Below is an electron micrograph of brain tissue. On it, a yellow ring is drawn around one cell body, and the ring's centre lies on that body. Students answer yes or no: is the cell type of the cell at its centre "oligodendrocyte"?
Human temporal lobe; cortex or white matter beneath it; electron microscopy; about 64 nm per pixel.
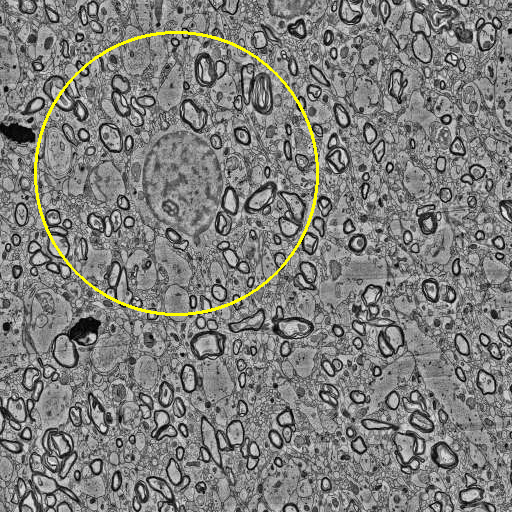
yes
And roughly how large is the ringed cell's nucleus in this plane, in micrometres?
The nucleus works out at approximately 7 by 5 micrometres in this plane.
